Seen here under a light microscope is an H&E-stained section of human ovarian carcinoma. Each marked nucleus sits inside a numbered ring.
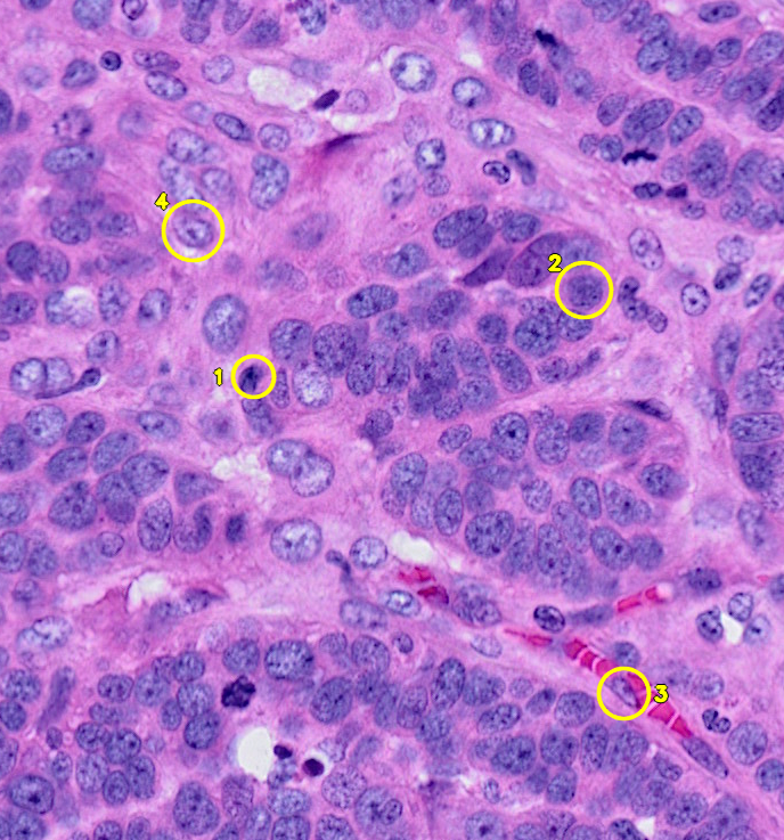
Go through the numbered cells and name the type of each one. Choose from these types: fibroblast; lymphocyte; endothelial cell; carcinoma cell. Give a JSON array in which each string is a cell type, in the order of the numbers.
["lymphocyte", "carcinoma cell", "endothelial cell", "fibroblast"]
